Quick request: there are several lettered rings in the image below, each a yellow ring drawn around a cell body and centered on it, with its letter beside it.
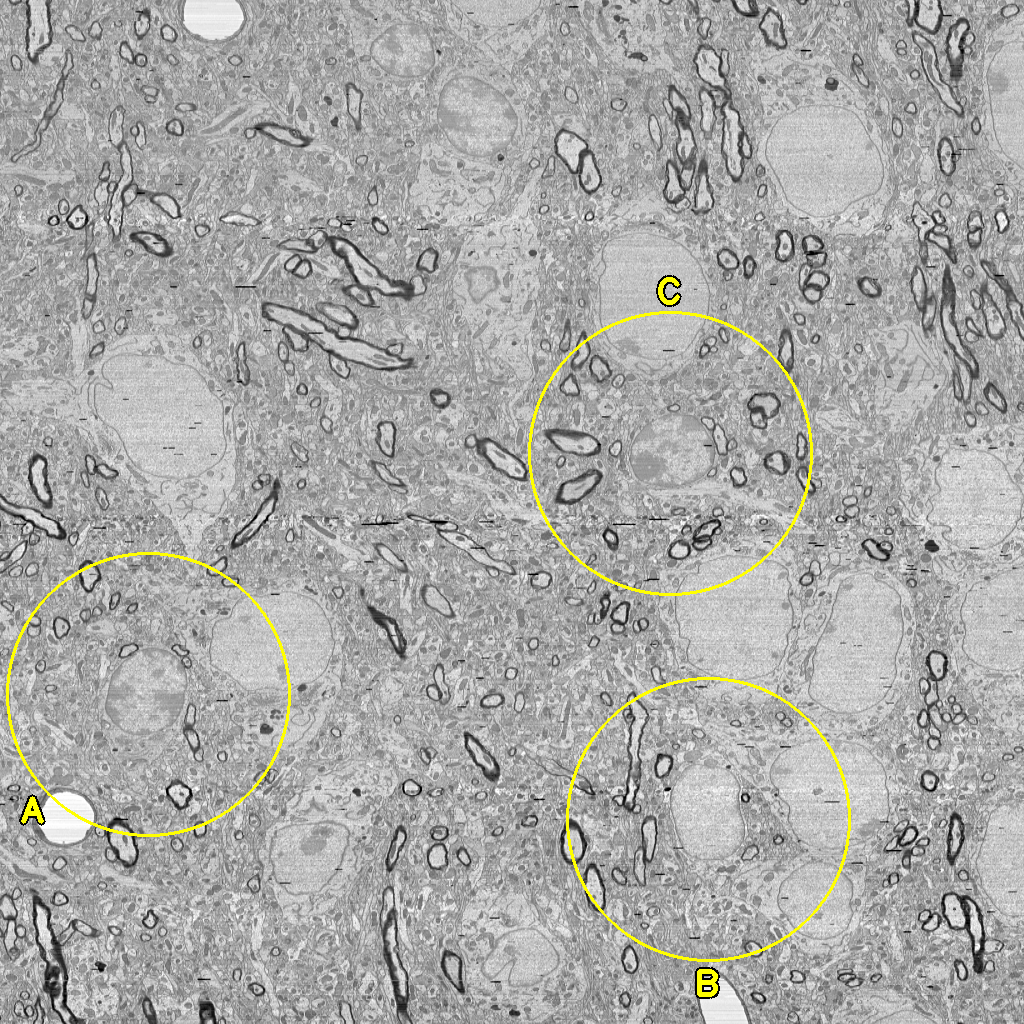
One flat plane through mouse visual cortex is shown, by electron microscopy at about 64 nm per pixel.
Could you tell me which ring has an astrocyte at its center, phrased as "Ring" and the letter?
Ring B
